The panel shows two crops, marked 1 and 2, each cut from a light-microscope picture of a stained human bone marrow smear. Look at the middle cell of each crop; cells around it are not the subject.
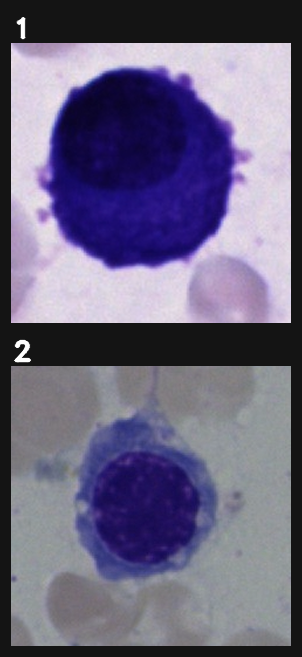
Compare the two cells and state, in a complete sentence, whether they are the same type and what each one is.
No, crop 1 is the one with a plasma cell; crop 2 has an erythroblast.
